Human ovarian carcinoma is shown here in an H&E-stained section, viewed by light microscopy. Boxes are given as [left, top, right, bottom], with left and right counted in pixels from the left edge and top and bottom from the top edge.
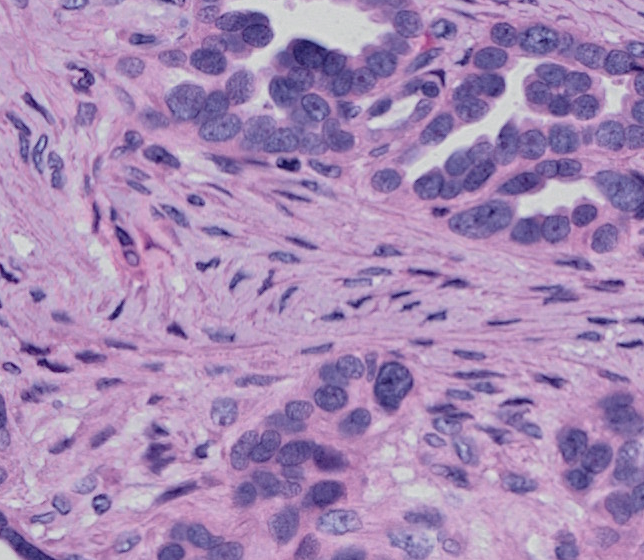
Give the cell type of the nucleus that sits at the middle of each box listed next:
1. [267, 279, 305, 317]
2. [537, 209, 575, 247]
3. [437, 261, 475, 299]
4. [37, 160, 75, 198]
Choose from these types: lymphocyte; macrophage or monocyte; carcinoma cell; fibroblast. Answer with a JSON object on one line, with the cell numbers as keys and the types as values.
{"1": "fibroblast", "2": "carcinoma cell", "3": "fibroblast", "4": "fibroblast"}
